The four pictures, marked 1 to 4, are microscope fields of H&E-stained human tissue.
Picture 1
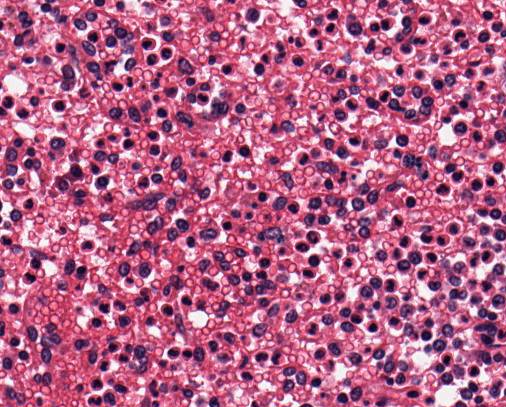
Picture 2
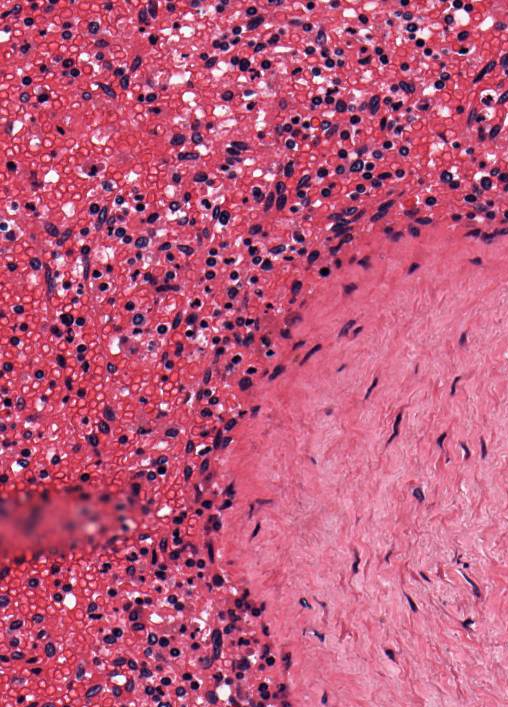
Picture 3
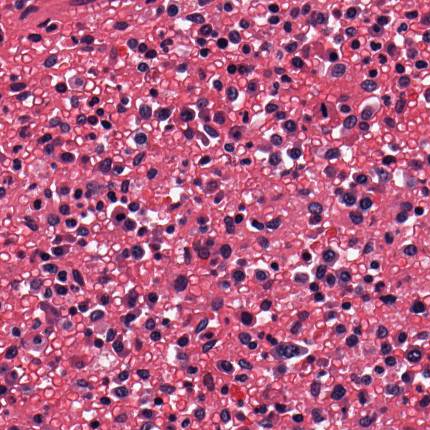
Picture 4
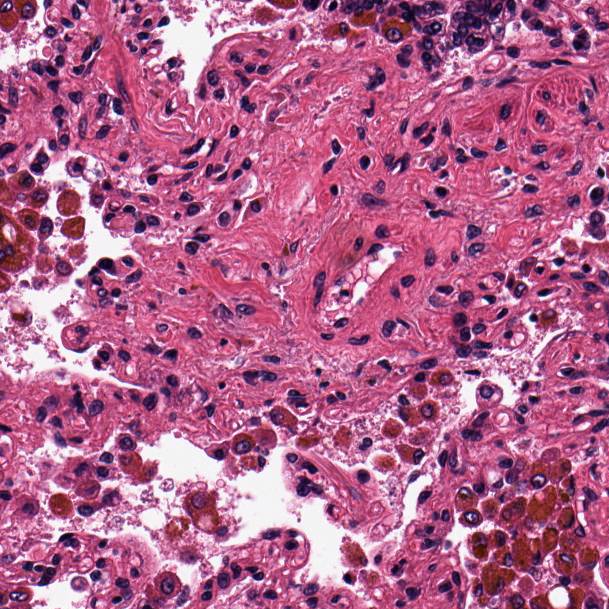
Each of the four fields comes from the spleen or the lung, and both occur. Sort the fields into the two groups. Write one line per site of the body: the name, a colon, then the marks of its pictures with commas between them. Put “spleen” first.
spleen: 1, 2, 3
lung: 4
